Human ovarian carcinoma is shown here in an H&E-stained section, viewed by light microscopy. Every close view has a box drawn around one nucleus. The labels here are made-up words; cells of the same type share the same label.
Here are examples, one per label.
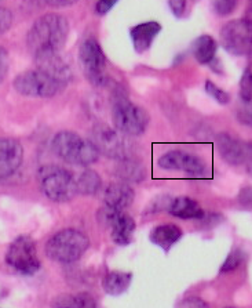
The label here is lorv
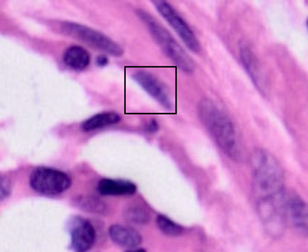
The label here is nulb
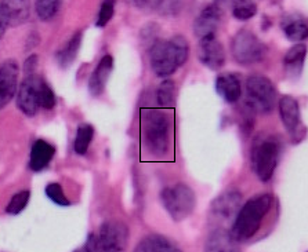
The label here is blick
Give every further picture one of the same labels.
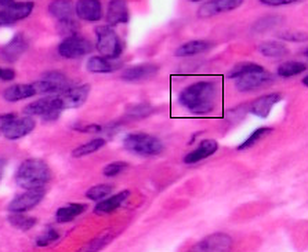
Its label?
lorv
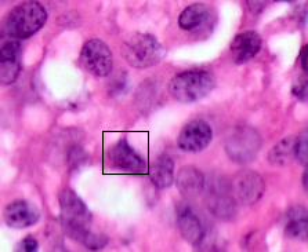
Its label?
blick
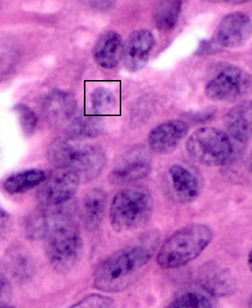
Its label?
lorv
